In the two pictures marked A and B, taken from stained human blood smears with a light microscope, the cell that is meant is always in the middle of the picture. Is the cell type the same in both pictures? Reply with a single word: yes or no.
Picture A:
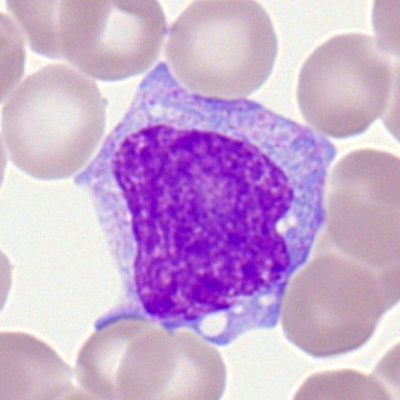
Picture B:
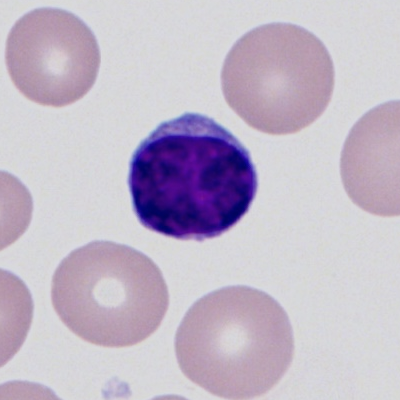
no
